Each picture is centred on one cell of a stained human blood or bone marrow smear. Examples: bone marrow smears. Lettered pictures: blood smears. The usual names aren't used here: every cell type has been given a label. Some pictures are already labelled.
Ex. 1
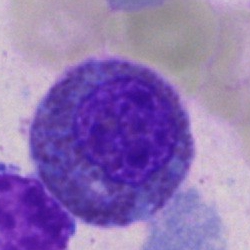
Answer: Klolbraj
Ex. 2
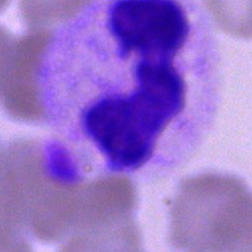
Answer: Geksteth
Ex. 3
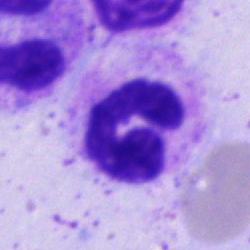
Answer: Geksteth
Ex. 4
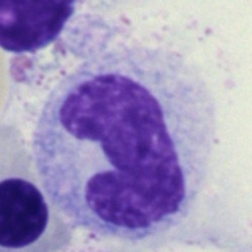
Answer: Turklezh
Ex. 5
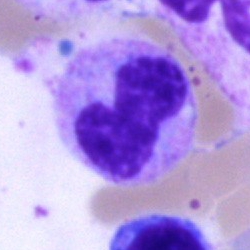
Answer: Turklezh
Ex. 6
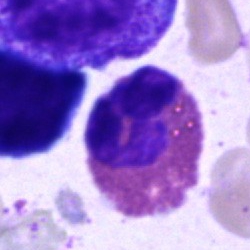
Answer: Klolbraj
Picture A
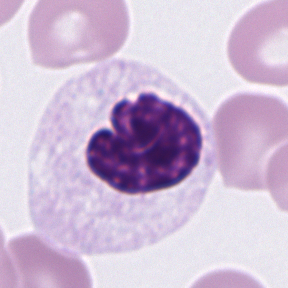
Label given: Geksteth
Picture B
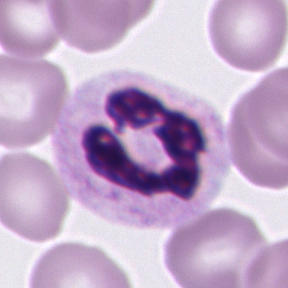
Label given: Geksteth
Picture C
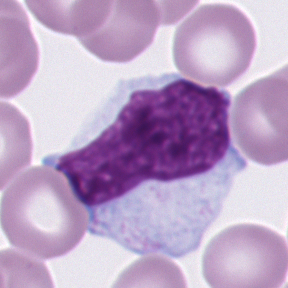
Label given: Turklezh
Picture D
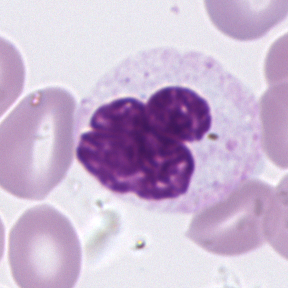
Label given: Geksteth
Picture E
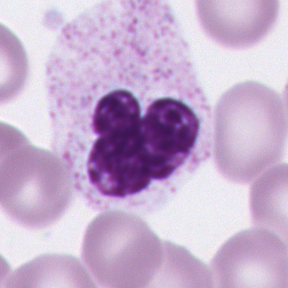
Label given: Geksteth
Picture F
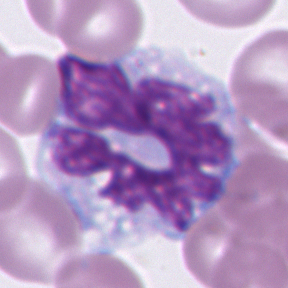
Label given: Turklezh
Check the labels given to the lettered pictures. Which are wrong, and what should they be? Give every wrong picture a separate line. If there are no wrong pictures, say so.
All labels are correct.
